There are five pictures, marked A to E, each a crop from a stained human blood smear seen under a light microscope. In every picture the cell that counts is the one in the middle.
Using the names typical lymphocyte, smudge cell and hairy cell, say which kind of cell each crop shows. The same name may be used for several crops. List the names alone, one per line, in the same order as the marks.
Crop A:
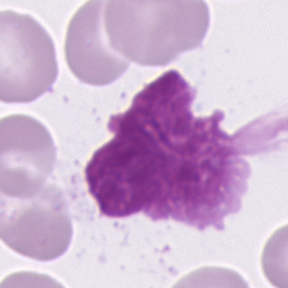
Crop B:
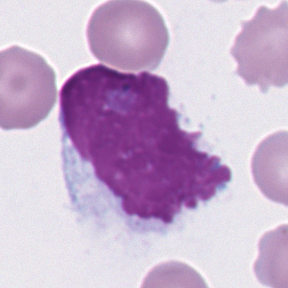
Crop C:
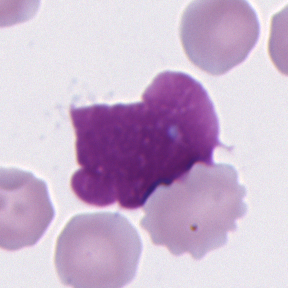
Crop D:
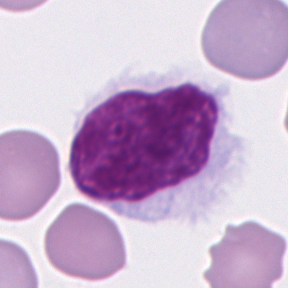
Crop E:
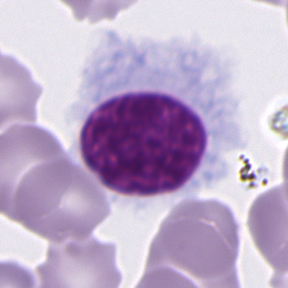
smudge cell
smudge cell
smudge cell
hairy cell
hairy cell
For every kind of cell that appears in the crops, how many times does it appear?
smudge cell: 3
hairy cell: 2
